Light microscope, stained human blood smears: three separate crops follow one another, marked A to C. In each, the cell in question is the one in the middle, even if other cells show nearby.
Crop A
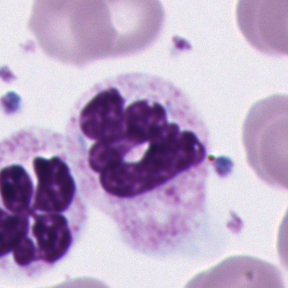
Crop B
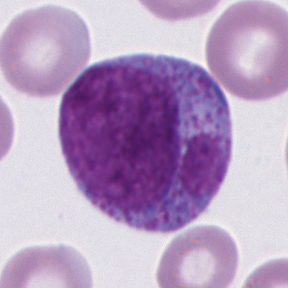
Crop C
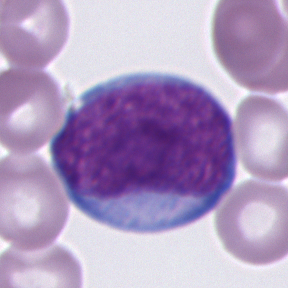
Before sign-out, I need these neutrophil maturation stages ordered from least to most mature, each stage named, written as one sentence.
Ranked by maturation stage, earliest first, the crops read crop C (a myeloblast), crop B (a promyelocyte) and crop A (a segmented neutrophil).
